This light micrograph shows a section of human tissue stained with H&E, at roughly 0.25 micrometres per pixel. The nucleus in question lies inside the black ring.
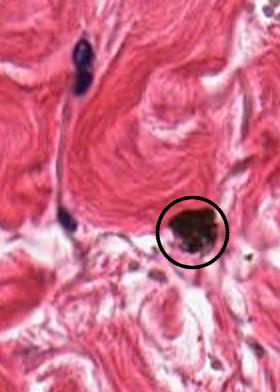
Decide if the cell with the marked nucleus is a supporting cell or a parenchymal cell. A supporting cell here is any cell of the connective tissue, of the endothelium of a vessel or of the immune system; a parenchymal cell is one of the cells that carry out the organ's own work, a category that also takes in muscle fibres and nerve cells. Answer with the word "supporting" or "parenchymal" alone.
supporting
